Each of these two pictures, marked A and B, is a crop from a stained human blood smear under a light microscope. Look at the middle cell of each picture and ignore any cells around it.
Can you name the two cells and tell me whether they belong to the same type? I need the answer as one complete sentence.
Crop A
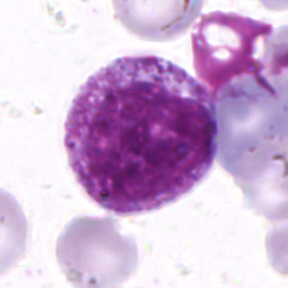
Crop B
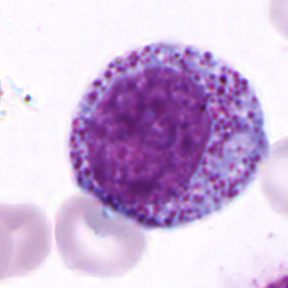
No, in crop A there is a myelocyte, and in crop B there is a promyelocyte.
